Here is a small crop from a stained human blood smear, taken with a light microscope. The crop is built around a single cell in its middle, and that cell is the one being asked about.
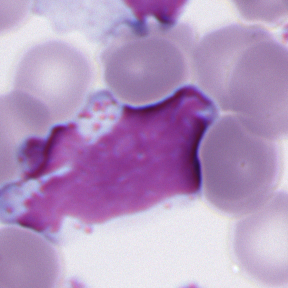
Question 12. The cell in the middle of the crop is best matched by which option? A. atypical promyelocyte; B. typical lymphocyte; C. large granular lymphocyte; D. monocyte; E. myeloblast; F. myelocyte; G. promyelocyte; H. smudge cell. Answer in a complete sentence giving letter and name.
The central cell of the crop is a large granular lymphocyte, which makes C the correct option.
